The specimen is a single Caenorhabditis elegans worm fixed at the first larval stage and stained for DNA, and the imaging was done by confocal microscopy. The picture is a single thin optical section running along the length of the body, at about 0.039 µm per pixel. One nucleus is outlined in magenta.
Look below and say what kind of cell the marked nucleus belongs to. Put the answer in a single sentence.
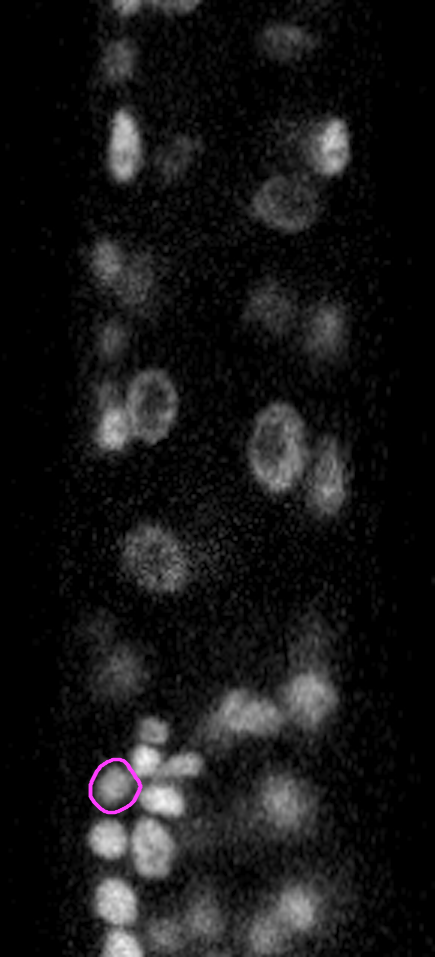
The marked cell is a body wall muscle cell.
